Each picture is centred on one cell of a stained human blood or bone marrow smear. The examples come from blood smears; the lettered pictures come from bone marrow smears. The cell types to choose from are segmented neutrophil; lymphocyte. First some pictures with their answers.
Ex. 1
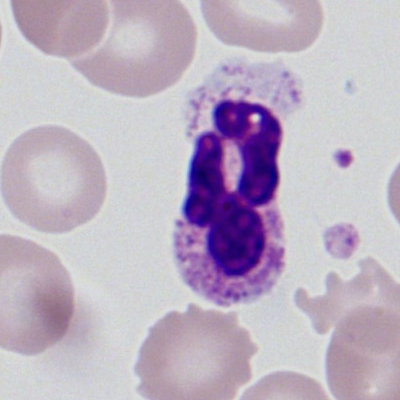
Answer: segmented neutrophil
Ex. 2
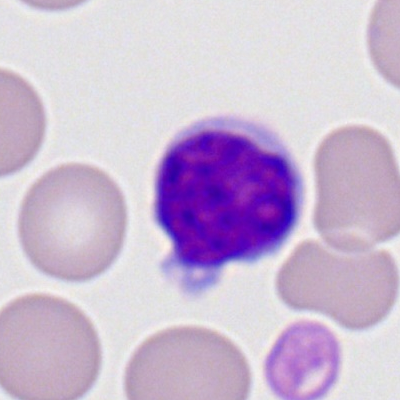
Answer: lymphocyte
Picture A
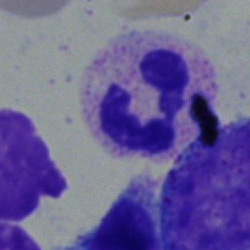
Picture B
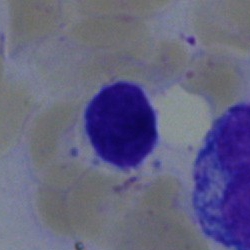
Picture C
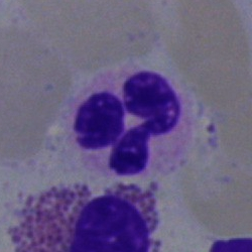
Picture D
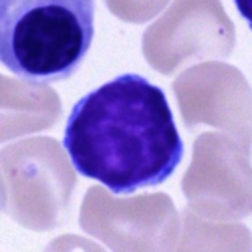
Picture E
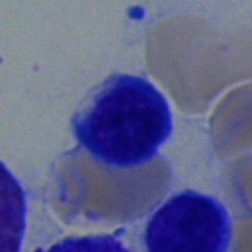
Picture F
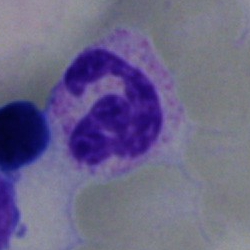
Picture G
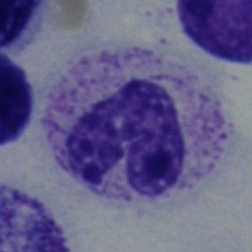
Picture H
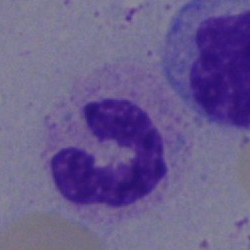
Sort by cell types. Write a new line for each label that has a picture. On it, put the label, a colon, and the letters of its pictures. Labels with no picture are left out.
segmented neutrophil: A, C, F, G, H
lymphocyte: B, D, E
